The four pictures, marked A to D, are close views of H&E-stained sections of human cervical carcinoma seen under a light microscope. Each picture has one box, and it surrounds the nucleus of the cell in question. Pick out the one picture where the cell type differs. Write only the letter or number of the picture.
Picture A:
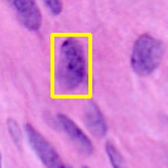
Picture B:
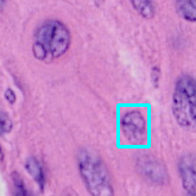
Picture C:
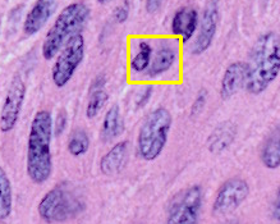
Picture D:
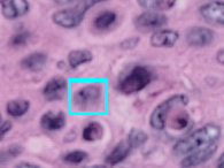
A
